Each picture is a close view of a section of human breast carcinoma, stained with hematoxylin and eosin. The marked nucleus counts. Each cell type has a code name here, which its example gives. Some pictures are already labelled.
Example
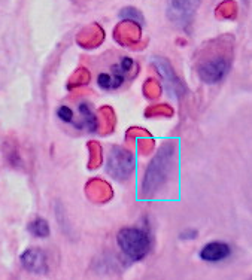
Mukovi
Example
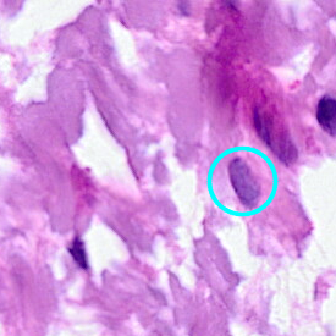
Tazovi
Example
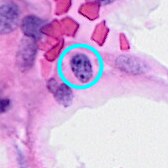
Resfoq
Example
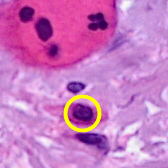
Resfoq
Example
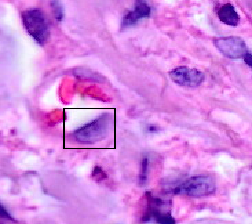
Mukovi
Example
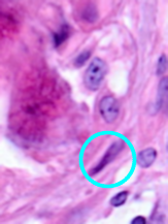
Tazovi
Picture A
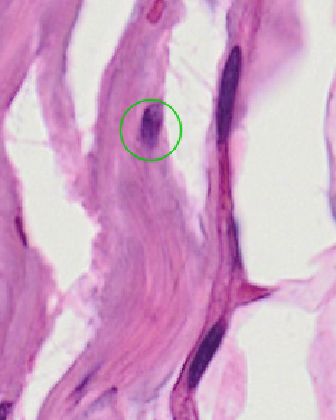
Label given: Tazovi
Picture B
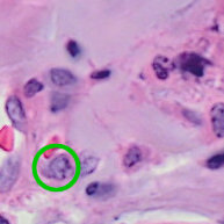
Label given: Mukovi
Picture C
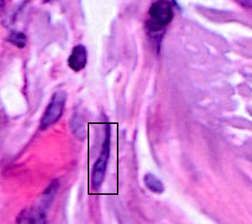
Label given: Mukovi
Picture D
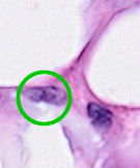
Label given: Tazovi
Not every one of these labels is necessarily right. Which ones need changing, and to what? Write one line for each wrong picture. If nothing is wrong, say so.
C: Tazovi, not Mukovi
